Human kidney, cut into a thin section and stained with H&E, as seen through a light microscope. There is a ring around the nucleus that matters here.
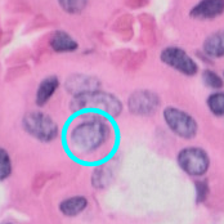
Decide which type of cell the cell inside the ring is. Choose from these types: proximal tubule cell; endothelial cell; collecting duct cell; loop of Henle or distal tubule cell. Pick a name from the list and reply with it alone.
collecting duct cell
